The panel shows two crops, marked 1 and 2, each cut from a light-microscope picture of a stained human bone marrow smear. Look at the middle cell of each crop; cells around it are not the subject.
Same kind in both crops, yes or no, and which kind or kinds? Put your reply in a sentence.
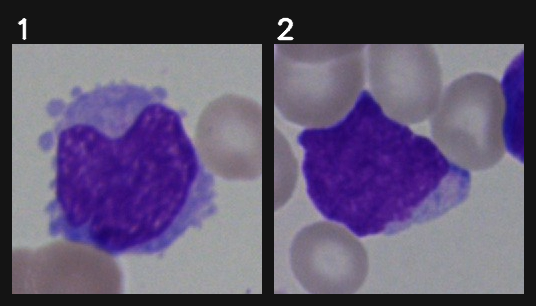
No, while a monocyte is found in crop 1, a blast is found in crop 2.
